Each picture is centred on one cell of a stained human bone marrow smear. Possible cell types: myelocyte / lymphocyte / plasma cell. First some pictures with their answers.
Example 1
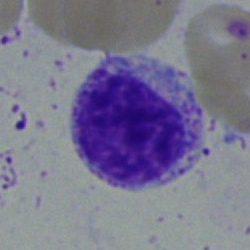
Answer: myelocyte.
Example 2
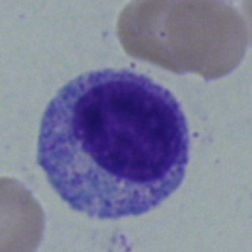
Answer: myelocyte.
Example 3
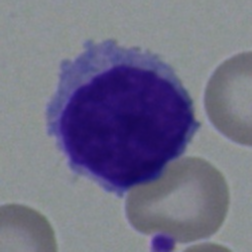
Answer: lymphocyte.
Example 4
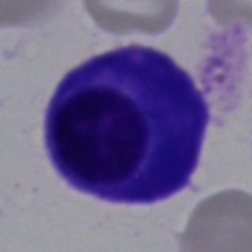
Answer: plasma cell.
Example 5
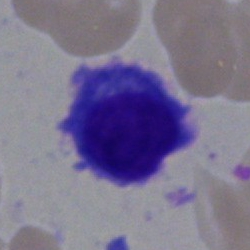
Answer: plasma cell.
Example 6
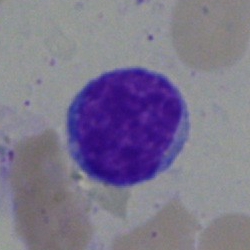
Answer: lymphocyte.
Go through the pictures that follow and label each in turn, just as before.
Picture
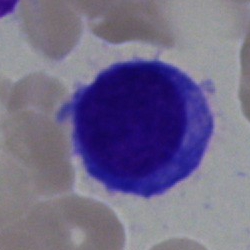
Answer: plasma cell.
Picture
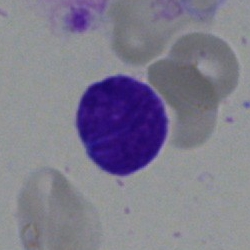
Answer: lymphocyte.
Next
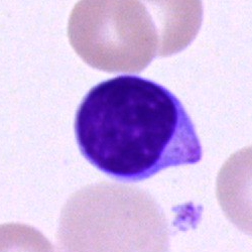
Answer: lymphocyte.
